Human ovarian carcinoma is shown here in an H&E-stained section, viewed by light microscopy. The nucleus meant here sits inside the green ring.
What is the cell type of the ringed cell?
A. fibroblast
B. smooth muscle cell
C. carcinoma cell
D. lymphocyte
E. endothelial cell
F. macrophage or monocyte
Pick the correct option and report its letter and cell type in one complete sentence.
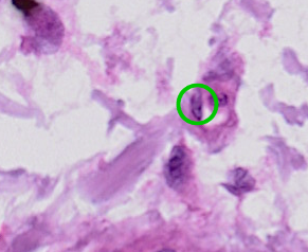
Since the ringed cell is an endothelial cell, option E is correct.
